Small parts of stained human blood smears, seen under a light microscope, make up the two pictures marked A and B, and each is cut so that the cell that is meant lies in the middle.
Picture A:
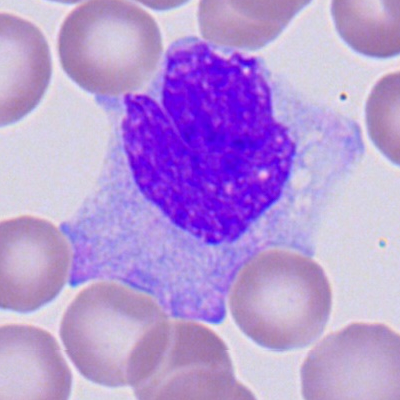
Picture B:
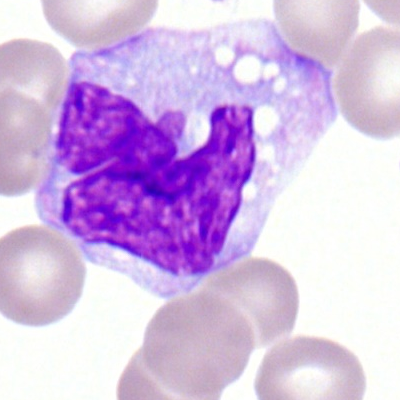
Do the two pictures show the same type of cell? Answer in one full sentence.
Yes, they are the same type: both are monocytes.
